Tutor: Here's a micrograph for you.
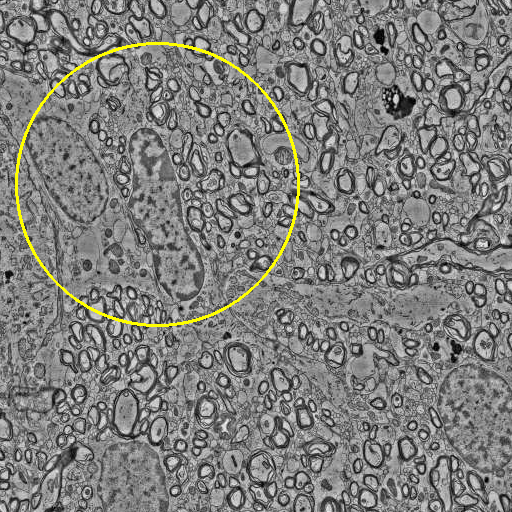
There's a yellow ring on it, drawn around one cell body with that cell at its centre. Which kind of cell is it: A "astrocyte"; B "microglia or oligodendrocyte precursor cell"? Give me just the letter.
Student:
B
